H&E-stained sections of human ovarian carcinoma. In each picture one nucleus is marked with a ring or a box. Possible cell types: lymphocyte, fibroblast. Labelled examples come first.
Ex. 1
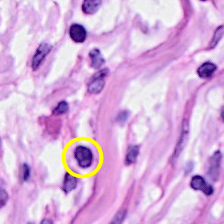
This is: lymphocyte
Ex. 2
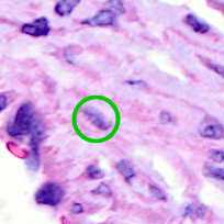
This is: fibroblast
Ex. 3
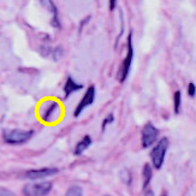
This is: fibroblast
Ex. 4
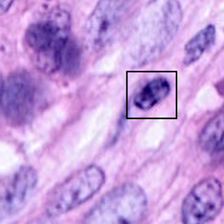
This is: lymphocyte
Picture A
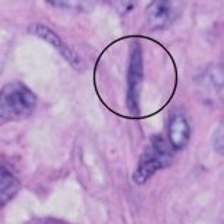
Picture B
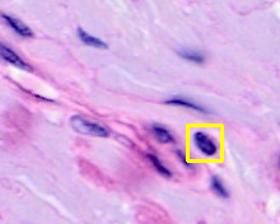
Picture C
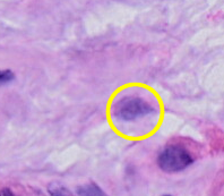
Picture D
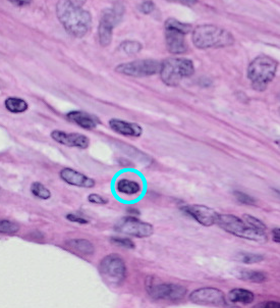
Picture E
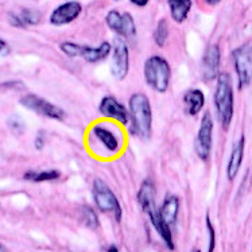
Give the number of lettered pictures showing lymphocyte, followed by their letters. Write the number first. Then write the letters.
Count: 3 (B, D, E)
